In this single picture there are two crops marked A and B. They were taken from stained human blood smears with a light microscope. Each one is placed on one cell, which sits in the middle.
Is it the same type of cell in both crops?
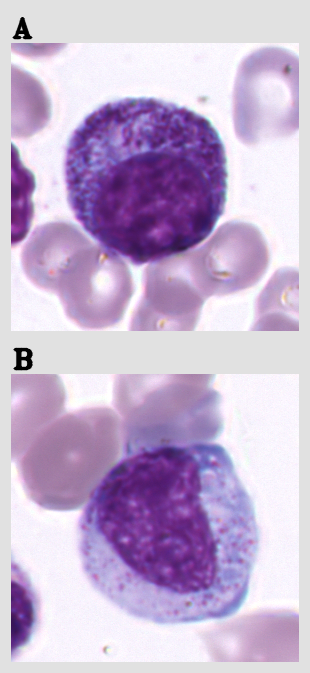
yes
